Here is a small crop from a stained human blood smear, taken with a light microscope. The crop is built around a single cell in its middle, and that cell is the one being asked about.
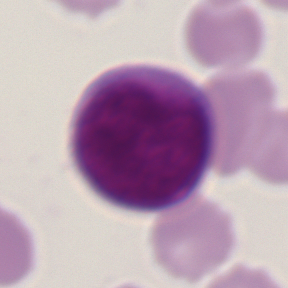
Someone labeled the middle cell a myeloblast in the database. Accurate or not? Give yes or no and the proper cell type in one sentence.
Yes, the cell sitting in the middle of this smear crop is a myeloblast.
